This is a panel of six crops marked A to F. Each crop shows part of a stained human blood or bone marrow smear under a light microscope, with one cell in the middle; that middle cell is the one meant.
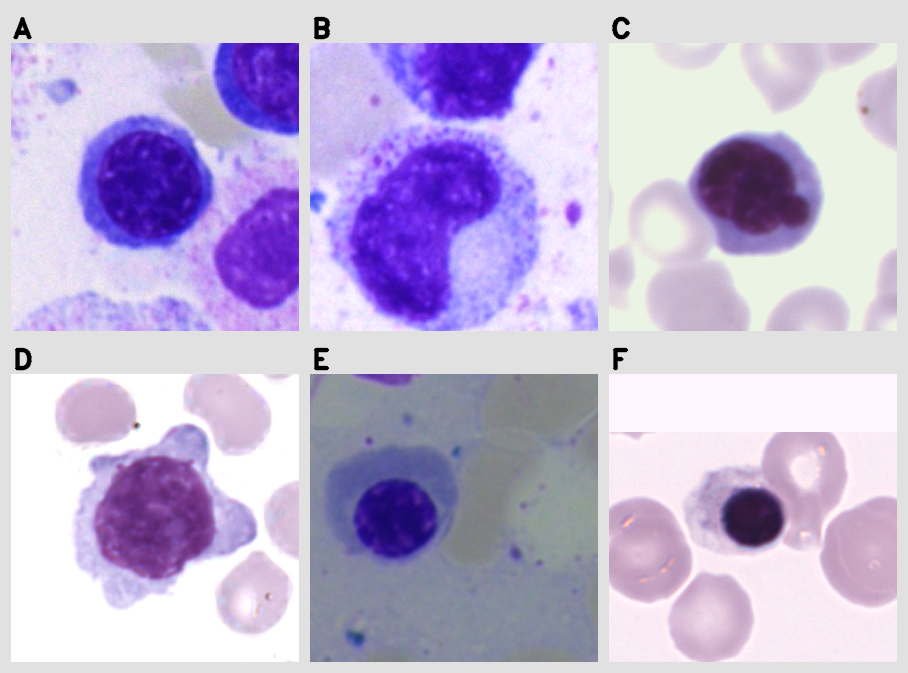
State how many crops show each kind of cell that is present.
erythroblast: 4
metamyelocyte: 1
plasma cell: 1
